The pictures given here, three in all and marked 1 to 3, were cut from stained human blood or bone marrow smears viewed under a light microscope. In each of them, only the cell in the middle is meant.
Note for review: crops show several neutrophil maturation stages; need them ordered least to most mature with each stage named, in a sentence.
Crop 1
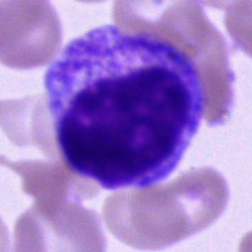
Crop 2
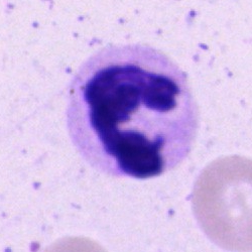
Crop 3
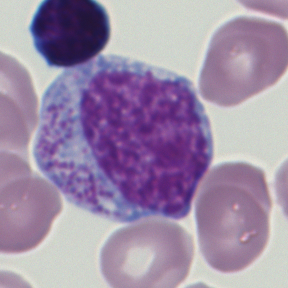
Maturity increases along the sequence crop 3 (a promyelocyte), crop 1 (a myelocyte) and crop 2 (a segmented neutrophil).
